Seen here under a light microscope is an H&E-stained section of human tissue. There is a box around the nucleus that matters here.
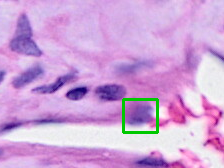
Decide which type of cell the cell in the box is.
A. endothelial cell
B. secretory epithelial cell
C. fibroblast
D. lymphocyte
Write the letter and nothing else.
A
